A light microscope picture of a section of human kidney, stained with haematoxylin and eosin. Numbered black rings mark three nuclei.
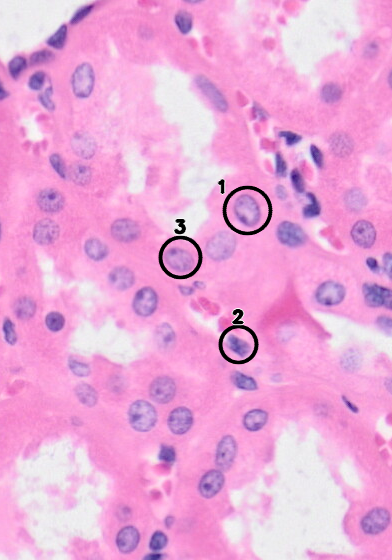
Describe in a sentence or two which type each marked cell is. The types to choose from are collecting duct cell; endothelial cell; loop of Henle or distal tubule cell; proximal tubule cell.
Cell 1 is a proximal tubule cell, cell 2 is an endothelial cell and cell 3 is a proximal tubule cell.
